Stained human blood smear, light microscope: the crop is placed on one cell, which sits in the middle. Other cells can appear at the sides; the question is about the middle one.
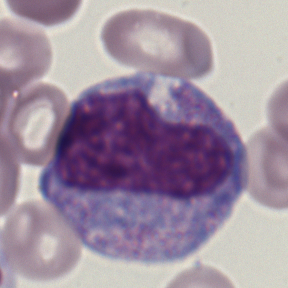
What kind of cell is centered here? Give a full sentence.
In this smear crop, the middle cell is a promyelocyte.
